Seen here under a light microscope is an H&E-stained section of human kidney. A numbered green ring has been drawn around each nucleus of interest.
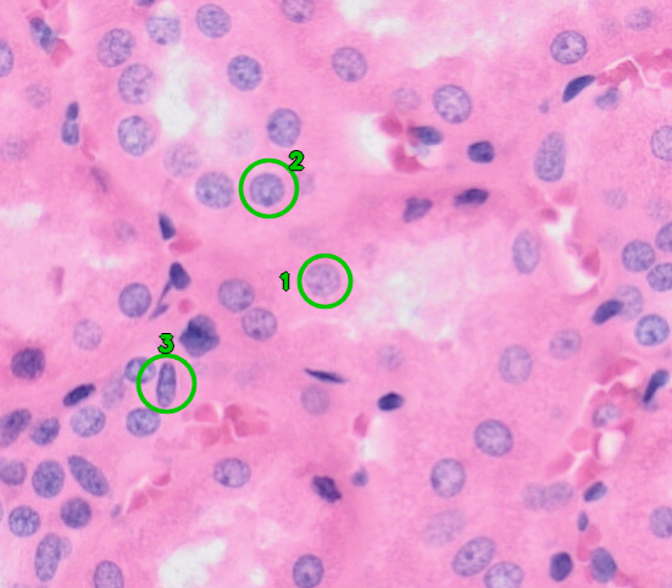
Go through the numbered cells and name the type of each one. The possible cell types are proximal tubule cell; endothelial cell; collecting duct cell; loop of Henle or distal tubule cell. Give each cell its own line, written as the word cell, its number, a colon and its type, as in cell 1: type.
cell 1: proximal tubule cell
cell 2: loop of Henle or distal tubule cell
cell 3: collecting duct cell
